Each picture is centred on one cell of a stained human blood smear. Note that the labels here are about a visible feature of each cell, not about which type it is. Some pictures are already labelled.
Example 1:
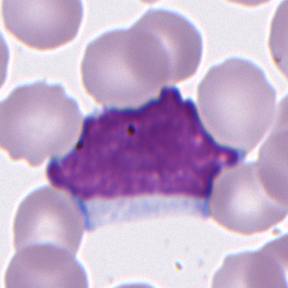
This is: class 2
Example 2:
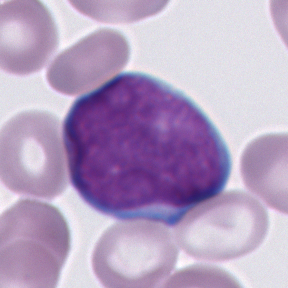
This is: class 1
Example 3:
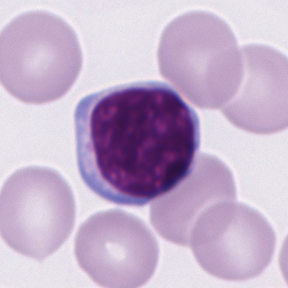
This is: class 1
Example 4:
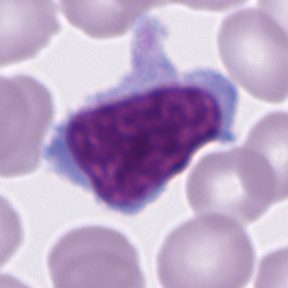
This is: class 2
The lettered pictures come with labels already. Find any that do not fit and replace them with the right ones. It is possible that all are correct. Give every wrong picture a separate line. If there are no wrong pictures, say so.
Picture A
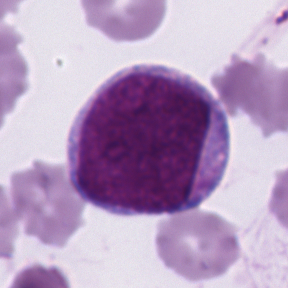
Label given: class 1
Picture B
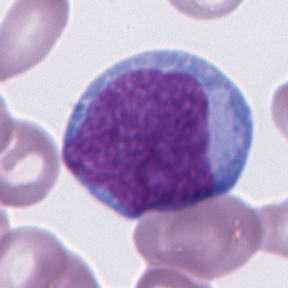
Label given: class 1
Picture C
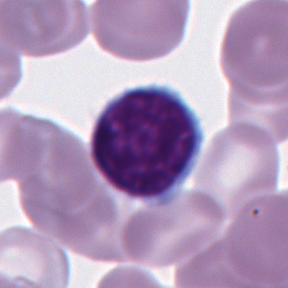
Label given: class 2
C: class 1, not class 2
